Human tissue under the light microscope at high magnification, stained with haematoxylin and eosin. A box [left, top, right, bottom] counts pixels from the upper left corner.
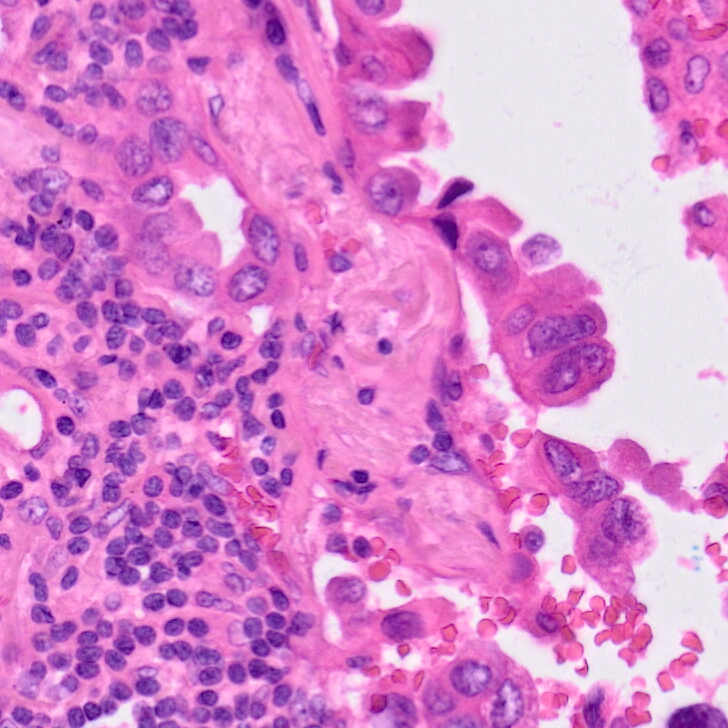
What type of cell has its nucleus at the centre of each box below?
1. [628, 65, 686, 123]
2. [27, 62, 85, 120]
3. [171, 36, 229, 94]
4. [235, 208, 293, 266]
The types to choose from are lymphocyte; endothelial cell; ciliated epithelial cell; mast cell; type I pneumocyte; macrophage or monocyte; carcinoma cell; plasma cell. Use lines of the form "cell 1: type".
cell 1: macrophage or monocyte
cell 2: lymphocyte
cell 3: lymphocyte
cell 4: carcinoma cell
